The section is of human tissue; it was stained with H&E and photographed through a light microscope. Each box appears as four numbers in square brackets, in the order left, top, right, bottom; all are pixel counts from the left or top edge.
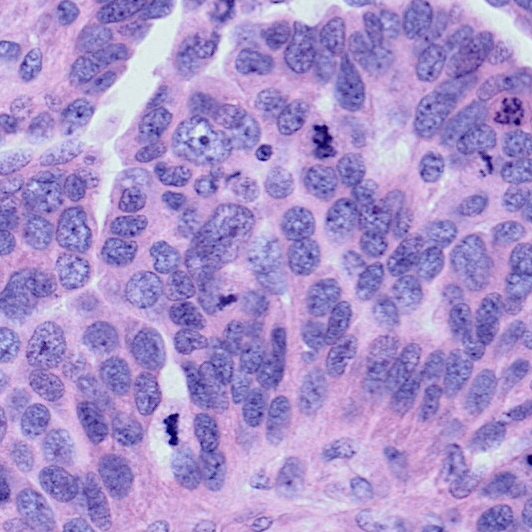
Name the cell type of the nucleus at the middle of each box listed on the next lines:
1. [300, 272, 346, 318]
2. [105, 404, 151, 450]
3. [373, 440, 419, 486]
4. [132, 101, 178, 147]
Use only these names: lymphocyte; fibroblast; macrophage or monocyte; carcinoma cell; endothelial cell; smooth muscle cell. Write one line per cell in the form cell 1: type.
cell 1: carcinoma cell
cell 2: carcinoma cell
cell 3: fibroblast
cell 4: carcinoma cell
